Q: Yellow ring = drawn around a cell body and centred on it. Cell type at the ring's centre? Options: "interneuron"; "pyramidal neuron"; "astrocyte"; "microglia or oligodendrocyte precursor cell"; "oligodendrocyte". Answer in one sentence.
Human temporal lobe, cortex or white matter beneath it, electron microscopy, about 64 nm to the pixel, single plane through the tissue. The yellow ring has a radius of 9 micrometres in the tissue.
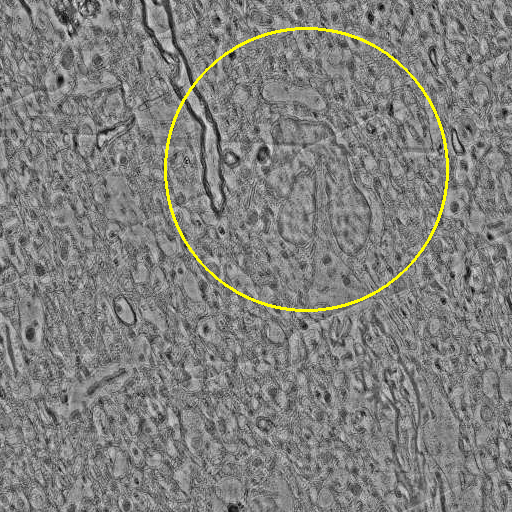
Centred in the ring is a microglial cell or oligodendrocyte precursor cell.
